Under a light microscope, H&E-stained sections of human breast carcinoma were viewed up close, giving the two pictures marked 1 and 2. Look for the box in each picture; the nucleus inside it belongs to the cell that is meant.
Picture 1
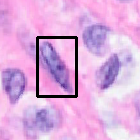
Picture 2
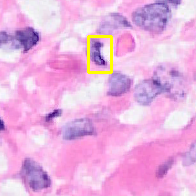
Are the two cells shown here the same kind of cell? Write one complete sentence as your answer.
Yes, they are the same type: both are endothelial cells.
